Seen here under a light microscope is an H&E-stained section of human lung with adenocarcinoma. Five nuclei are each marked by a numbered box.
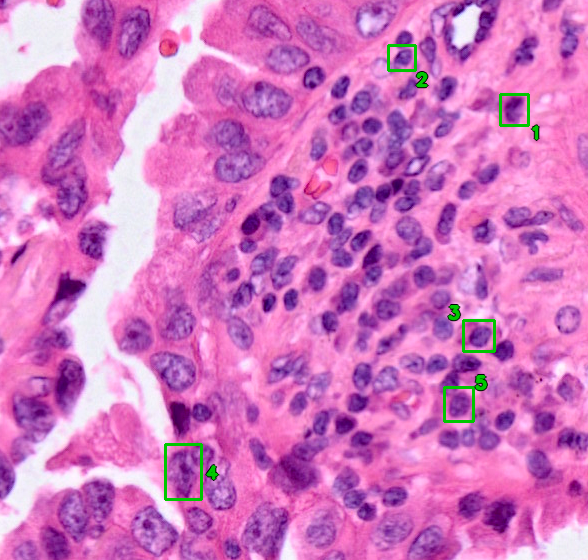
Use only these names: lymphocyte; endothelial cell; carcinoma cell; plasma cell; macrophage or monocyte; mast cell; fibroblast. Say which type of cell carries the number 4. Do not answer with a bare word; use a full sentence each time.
The cell bearing label 4 corresponds to a carcinoma cell.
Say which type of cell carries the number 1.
The label 1 in this section denotes a plasma cell.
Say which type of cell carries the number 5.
What the number 5 marks in this field is a plasma cell.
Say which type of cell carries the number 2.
Cell number 2 in this section is a lymphocyte.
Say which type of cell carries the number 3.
In this section, number 3 marks a plasma cell.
